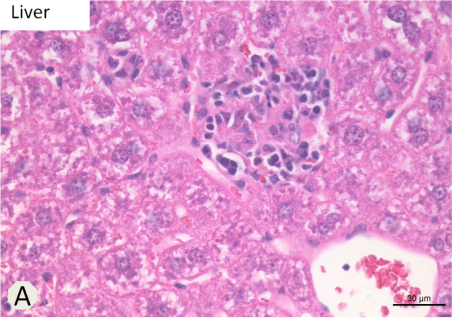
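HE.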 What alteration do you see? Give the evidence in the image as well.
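Mononuclear inflammatory infiltrate. A compact cluster of small cells with dark round nuclei lies among the hepatocytes. The surrounding hepatocytes are large polygonal cells with pink cytoplasm and round nuclei.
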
